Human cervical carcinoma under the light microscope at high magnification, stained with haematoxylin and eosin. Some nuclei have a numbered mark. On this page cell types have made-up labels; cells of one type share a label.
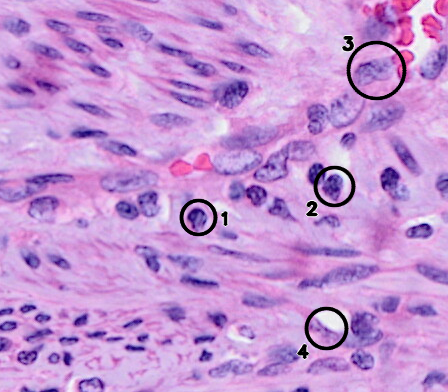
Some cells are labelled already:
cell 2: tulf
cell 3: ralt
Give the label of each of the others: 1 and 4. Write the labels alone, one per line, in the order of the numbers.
tulf
ralt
